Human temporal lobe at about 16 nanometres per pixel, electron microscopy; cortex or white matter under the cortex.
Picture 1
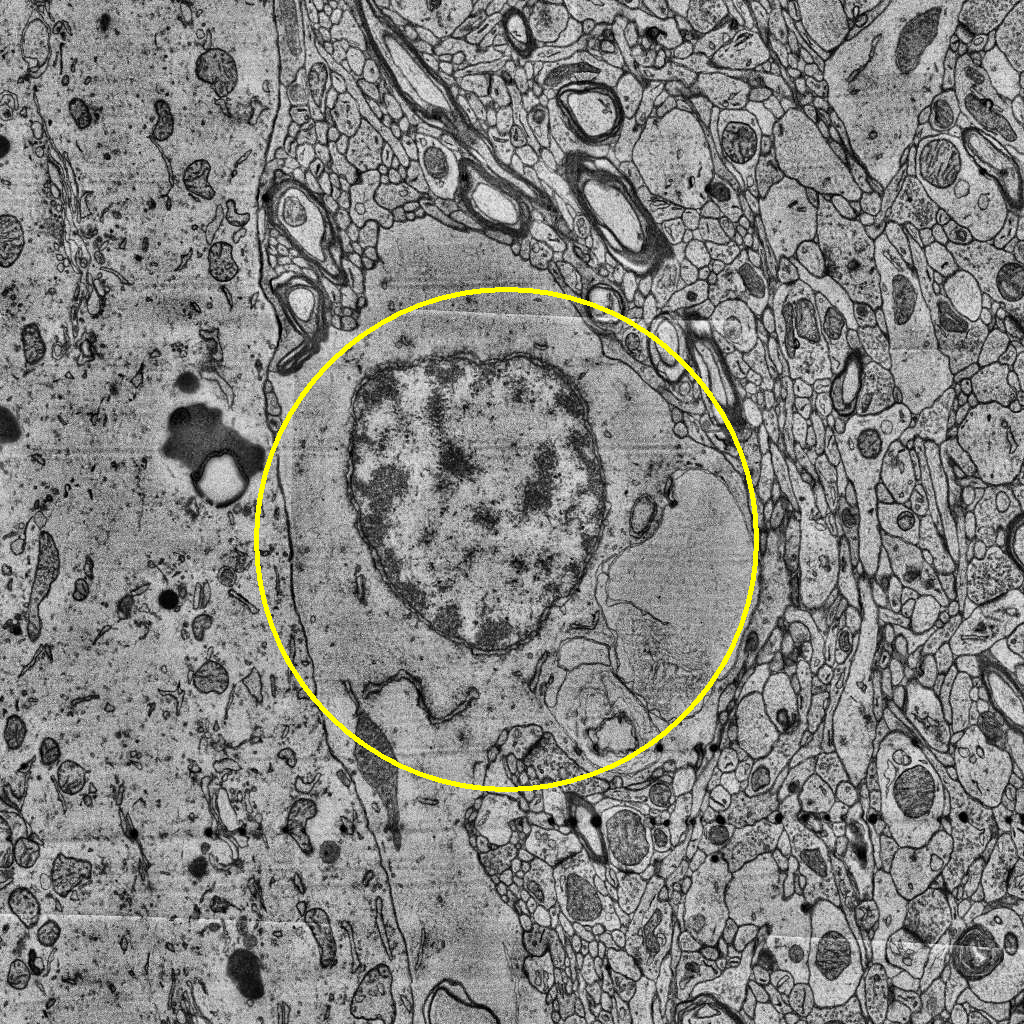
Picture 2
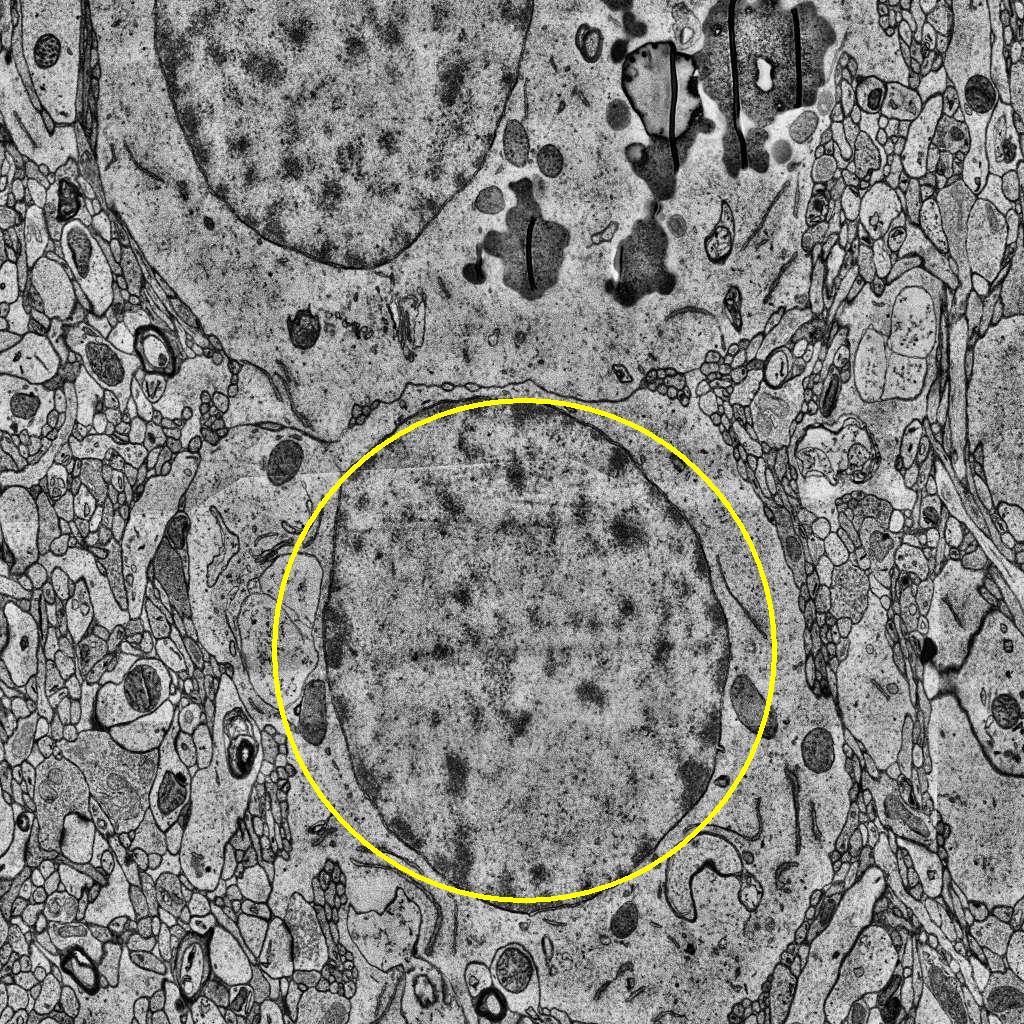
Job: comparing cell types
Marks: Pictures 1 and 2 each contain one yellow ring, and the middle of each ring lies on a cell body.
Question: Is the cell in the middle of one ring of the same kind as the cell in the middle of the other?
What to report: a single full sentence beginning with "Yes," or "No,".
Yes, the cell at the ring centre in Picture 1 and its partner in Picture 2 are of one kind.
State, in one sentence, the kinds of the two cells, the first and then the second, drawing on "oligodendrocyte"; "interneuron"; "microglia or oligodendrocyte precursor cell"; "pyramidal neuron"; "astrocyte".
Each of the two rings surrounds an astrocyte.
